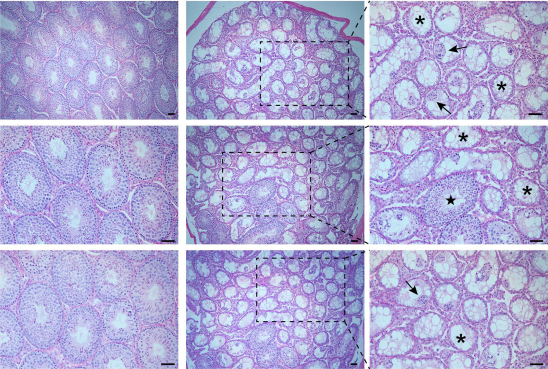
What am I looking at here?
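These are sections of testis showing seminiferous tubules in cross-section, with purple nuclei on a pink background. In the left column the tubules are full of densely layered cells around a central lumen, whereas in the other columns most tubules are smaller and pale, with vacuolated interiors and only a thin rim of cells, and only occasional tubules keep a full layered epithelium.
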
